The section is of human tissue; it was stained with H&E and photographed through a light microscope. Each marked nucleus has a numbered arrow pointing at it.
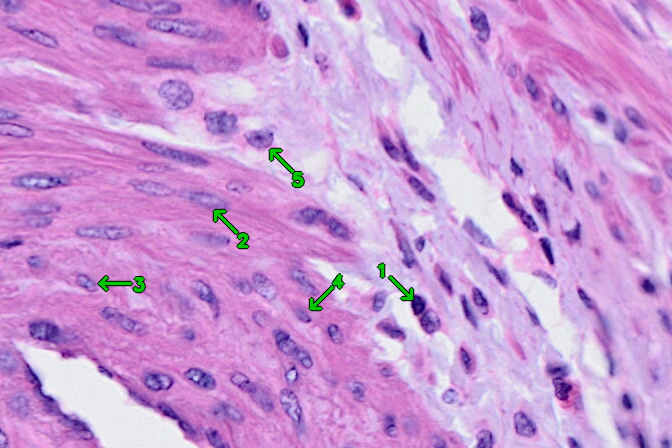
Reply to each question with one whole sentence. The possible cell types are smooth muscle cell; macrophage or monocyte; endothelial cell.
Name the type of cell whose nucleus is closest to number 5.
The cell nearest to number 5 is a macrophage or monocyte.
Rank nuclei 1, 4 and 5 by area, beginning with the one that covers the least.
Smallest first, the nuclei run 4, 1, 5.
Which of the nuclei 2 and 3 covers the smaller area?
Nucleus 3 is the smaller one; nucleus 2 covers about 3 times its area.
